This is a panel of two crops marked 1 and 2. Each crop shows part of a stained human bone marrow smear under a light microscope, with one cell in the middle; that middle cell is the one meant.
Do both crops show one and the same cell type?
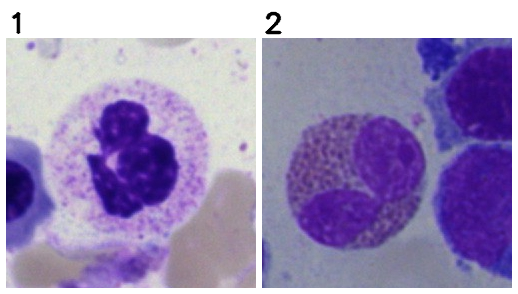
no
